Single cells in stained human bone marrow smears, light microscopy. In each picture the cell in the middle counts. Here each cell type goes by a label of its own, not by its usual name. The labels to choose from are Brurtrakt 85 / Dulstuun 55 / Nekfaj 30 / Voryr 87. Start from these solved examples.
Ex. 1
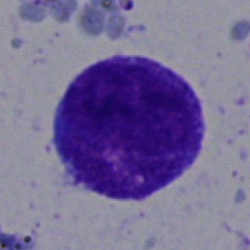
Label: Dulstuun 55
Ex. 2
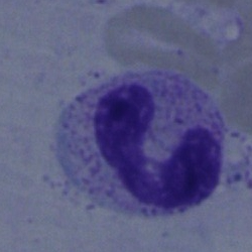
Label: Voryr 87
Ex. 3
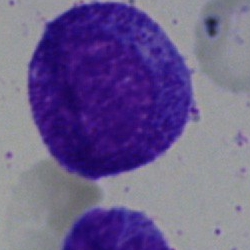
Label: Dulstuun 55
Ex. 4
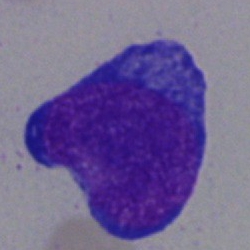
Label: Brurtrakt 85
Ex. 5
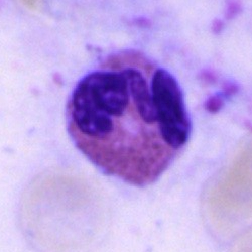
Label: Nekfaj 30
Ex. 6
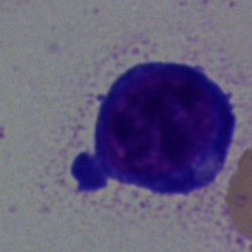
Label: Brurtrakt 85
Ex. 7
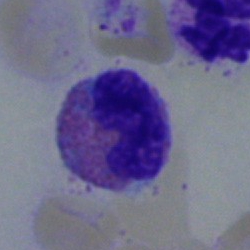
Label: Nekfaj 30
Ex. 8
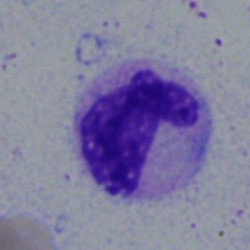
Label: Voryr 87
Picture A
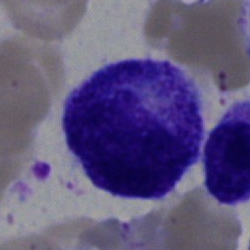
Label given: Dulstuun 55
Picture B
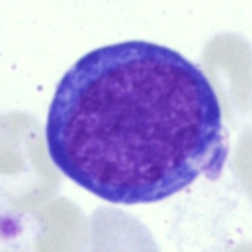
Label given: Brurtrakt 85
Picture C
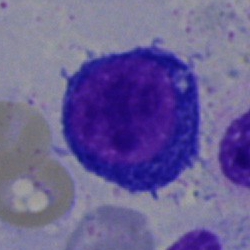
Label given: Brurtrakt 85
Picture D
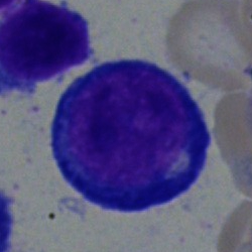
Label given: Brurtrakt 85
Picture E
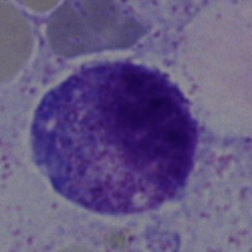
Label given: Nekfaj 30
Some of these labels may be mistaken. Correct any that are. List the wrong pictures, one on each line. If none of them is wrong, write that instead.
Wrong: E (Nekfaj 30); correct: Dulstuun 55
